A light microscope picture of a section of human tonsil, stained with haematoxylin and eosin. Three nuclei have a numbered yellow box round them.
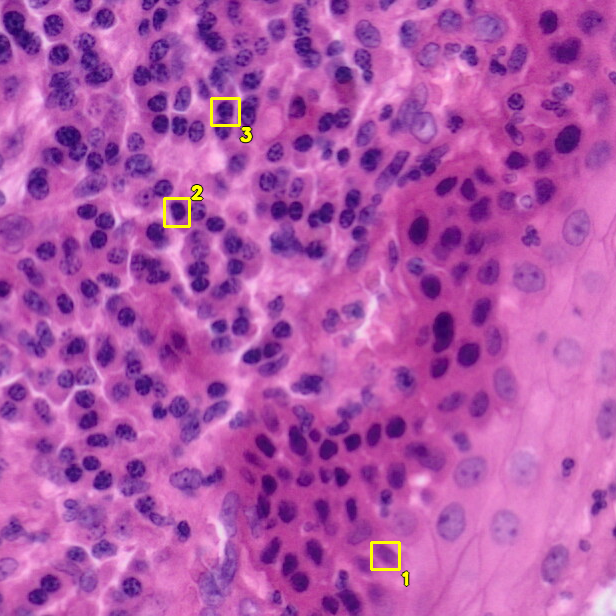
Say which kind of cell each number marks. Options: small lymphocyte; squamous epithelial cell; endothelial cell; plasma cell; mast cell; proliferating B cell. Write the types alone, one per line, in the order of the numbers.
squamous epithelial cell
plasma cell
plasma cell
